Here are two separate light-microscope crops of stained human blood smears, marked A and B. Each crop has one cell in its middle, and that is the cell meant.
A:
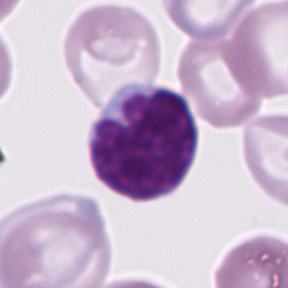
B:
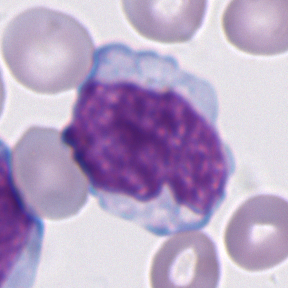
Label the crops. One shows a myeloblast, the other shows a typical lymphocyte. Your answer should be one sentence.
Crop A has been identified as a typical lymphocyte, and crop B has been identified as a myeloblast.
